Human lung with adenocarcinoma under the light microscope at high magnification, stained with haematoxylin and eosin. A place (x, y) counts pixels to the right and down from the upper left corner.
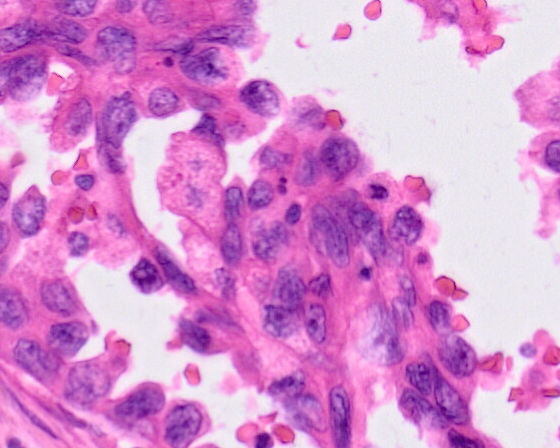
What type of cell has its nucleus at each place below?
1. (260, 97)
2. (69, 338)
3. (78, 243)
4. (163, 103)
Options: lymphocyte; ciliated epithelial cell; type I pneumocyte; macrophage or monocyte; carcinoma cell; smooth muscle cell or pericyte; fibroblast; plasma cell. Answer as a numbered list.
1. carcinoma cell
2. carcinoma cell
3. macrophage or monocyte
4. carcinoma cell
